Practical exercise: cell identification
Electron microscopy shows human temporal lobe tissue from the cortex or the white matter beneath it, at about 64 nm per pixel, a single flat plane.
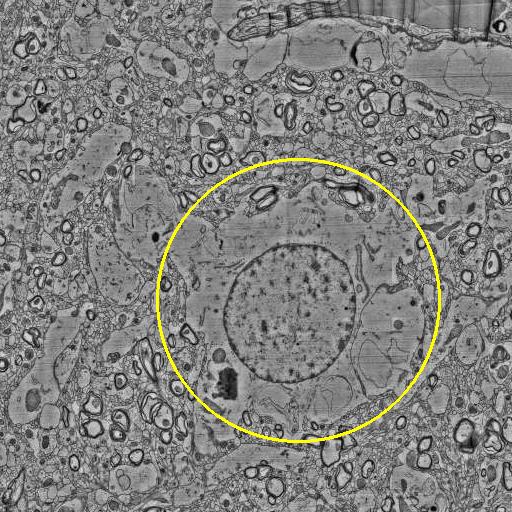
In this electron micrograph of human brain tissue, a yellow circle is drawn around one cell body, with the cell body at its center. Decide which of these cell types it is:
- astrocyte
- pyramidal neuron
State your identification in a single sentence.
The ringed cell is an astrocyte.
